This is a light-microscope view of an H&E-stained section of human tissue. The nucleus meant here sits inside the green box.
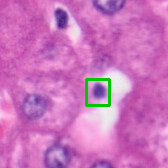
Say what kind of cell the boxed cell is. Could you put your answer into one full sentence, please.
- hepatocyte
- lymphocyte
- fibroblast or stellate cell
It is as a lymphocyte that the boxed cell is recorded.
